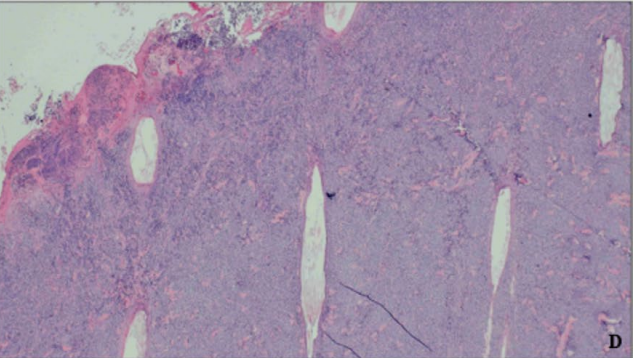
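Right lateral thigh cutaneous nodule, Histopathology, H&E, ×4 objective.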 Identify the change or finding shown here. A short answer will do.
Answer: Packed neoplastic population of round cells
